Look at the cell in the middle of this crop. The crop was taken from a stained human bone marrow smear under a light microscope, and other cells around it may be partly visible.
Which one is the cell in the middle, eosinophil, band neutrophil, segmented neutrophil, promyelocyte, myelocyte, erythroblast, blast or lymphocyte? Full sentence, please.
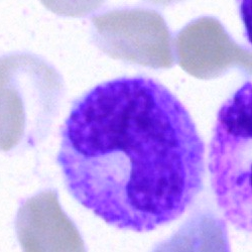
The single cell at the center of the crop is a band neutrophil.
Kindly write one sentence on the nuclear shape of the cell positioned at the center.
If you check the nucleus, you will find one compact mass, round, oval or kidney-shaped.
